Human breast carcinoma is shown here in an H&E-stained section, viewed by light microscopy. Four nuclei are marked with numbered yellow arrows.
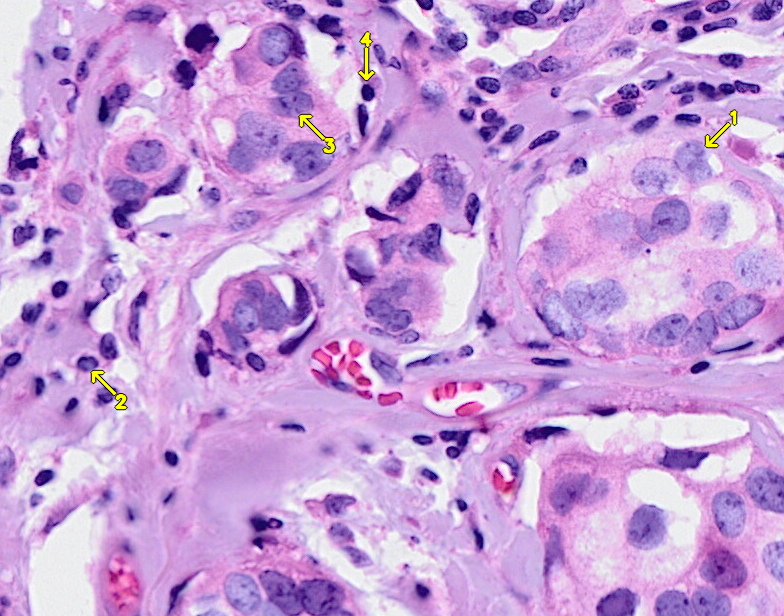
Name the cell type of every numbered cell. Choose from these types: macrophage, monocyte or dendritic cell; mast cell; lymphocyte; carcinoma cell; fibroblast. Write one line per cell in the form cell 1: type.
cell 1: carcinoma cell
cell 2: lymphocyte
cell 3: carcinoma cell
cell 4: lymphocyte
